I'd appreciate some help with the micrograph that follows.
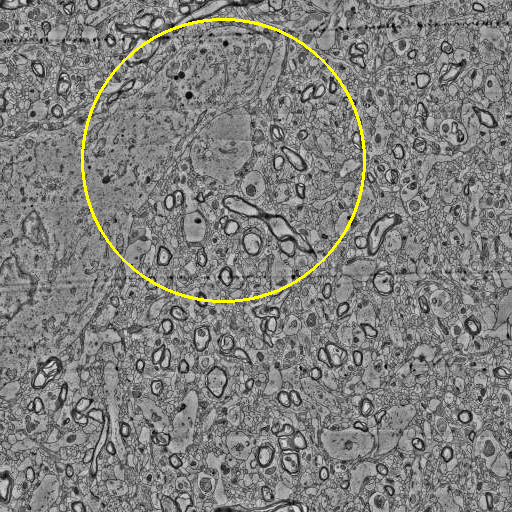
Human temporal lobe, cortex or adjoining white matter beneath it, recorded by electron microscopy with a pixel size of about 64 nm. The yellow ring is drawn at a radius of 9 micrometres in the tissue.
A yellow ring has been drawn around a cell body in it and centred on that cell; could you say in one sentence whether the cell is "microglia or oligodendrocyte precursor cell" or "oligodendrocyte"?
It is a microglial cell or oligodendrocyte precursor cell at the centre of the ring.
